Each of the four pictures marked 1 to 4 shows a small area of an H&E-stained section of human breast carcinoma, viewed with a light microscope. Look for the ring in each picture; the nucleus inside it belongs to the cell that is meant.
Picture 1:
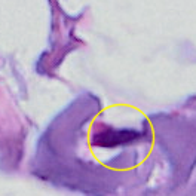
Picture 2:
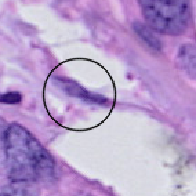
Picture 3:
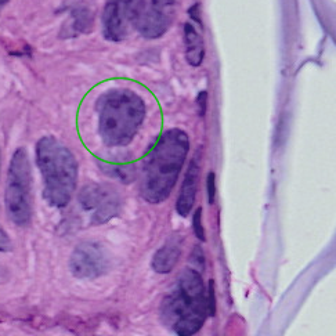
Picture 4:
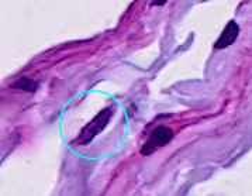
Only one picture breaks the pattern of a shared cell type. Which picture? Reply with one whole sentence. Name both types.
The others show fibroblasts, but picture 3 shows a carcinoma cell.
